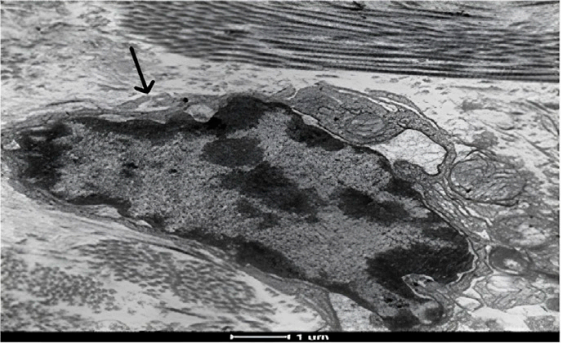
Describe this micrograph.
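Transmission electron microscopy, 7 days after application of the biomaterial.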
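The cell marked by the black arrow is an inflammatory cell lying among bundles of collagen fibrils in connective tissue, seen here at high magnification. Its nucleus fills most of the cell and has an irregular outline, with dense dark clumps of heterochromatin lying against the nuclear envelope and scattered through a lighter, grainy nucleoplasm. Only a thin rim of cytoplasm surrounds the nucleus, and on the right side it forms folded processes enclosing small membrane-bound profiles. Above the cell, collagen fibrils run in a long parallel bundle cut lengthwise, while below and to the left fibrils cut across appear as dotted fields.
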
